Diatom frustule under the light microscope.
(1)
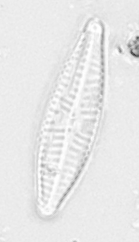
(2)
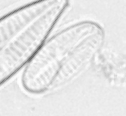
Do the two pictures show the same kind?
No: Navicula, then Craticula.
